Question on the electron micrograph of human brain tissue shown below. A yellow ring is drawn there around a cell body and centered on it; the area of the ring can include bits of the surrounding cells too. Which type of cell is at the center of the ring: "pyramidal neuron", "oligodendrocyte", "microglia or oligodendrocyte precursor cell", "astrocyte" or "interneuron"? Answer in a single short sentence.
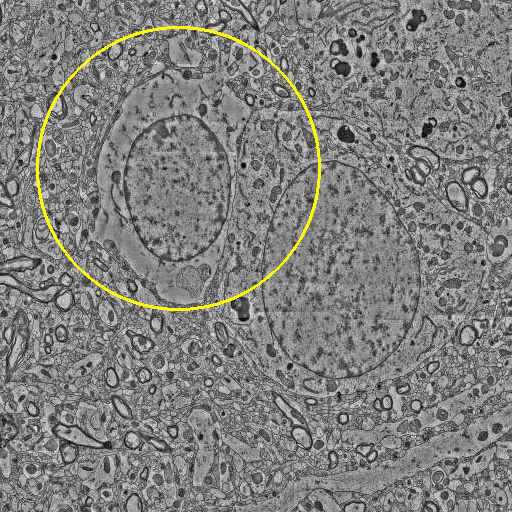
The ring is centered on an astrocyte.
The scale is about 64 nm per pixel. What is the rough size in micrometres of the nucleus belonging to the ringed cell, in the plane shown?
The nucleus is approximately 9 micrometers long by 7 micrometers wide in this plane.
